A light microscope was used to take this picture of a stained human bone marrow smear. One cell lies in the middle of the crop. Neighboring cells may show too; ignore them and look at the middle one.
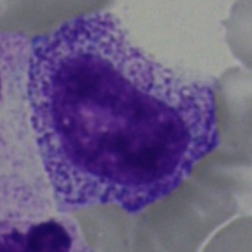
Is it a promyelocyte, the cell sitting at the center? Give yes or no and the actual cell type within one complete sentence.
No, the one in the center is not a promyelocyte; it is a myelocyte.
